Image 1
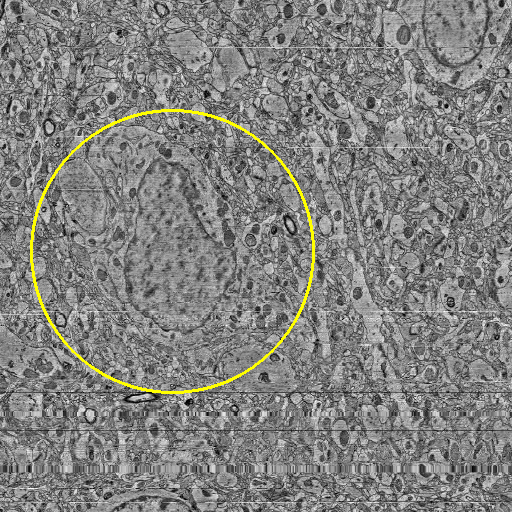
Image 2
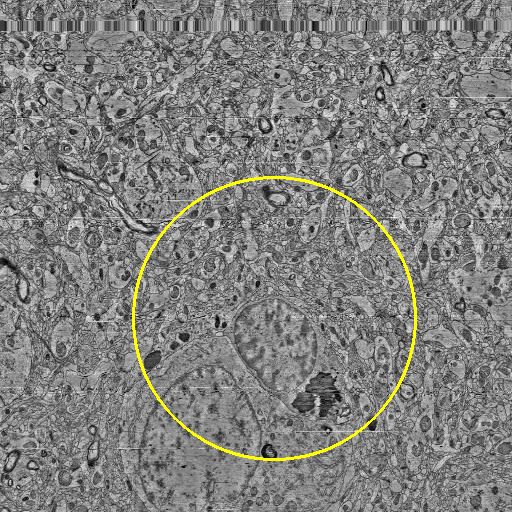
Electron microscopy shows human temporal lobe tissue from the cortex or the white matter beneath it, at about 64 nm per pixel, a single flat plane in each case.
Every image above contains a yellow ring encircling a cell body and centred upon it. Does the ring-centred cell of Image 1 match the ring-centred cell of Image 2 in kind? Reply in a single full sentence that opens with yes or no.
No, the cell at the ring's centre in Image 1 is a separate kind from that in Image 2.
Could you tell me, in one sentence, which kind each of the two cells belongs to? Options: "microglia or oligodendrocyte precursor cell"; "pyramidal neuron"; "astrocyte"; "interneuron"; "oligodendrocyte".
At the centre of the first ring sits an interneuron, and at the centre of the second sits an oligodendrocyte.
